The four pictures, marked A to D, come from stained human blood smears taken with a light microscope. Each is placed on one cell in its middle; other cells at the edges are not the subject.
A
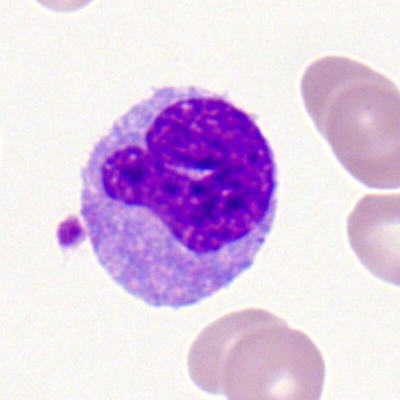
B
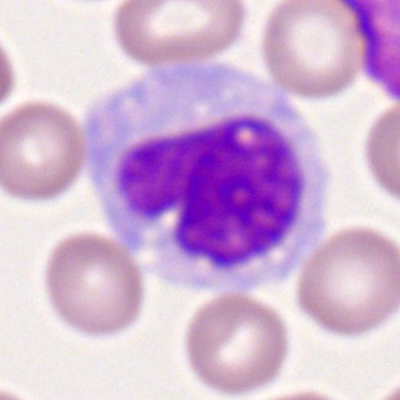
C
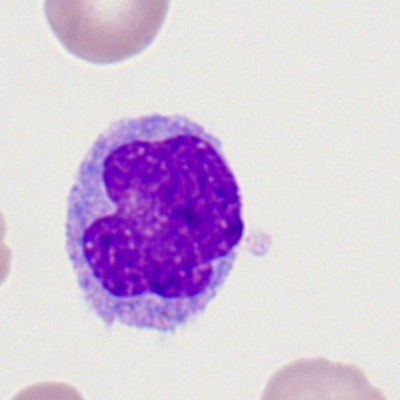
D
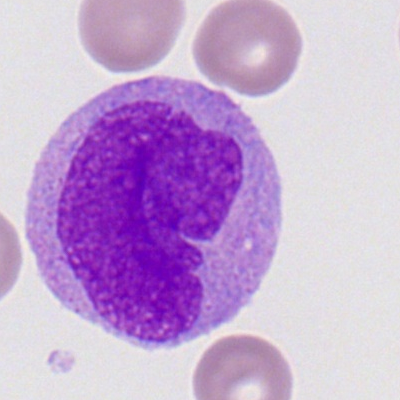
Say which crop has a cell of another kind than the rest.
D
